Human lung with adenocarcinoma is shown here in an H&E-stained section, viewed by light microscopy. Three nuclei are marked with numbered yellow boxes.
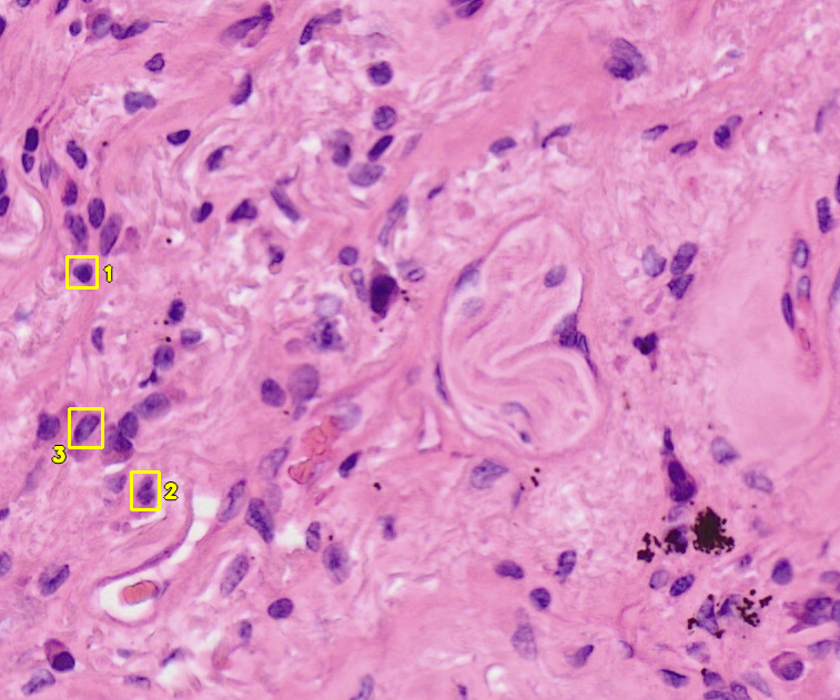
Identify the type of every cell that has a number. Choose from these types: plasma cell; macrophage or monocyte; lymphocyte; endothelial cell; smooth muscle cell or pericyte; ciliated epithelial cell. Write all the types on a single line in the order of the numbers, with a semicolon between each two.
lymphocyte; plasma cell; plasma cell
